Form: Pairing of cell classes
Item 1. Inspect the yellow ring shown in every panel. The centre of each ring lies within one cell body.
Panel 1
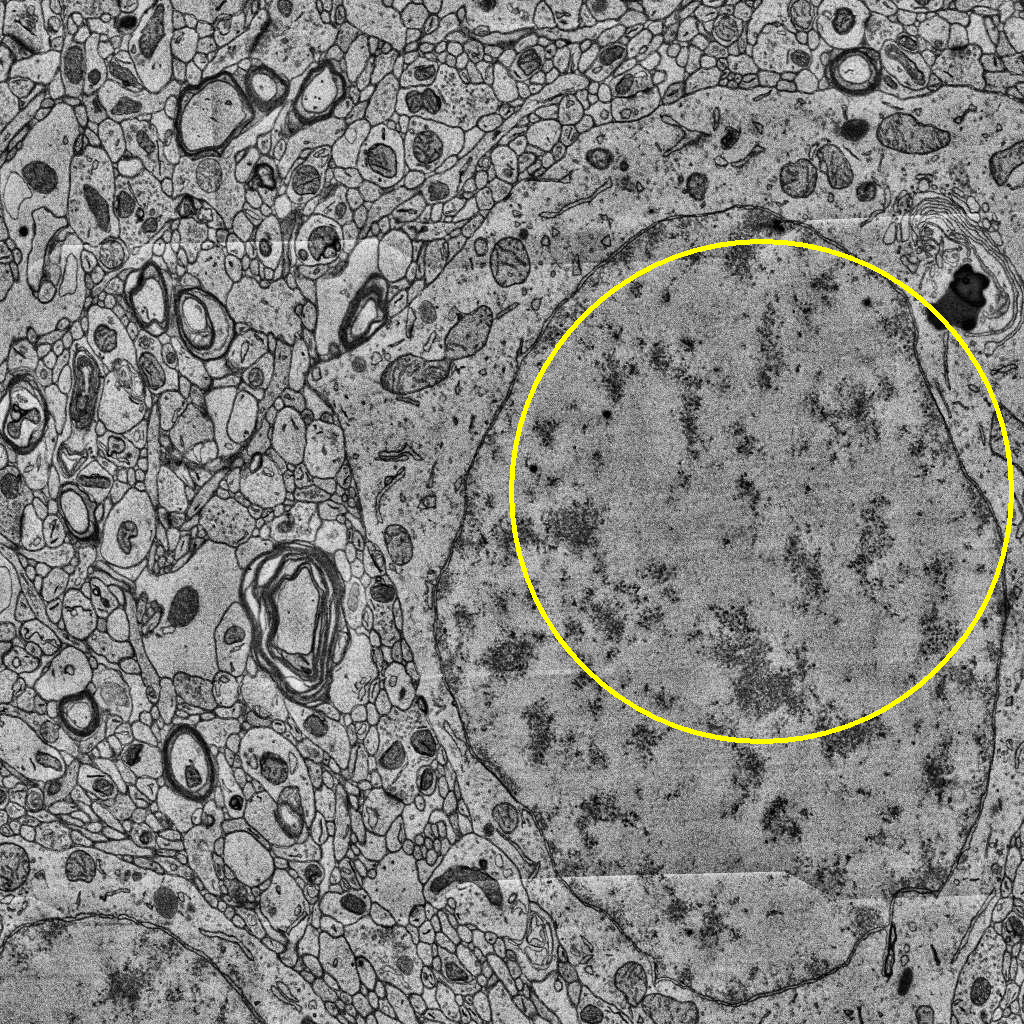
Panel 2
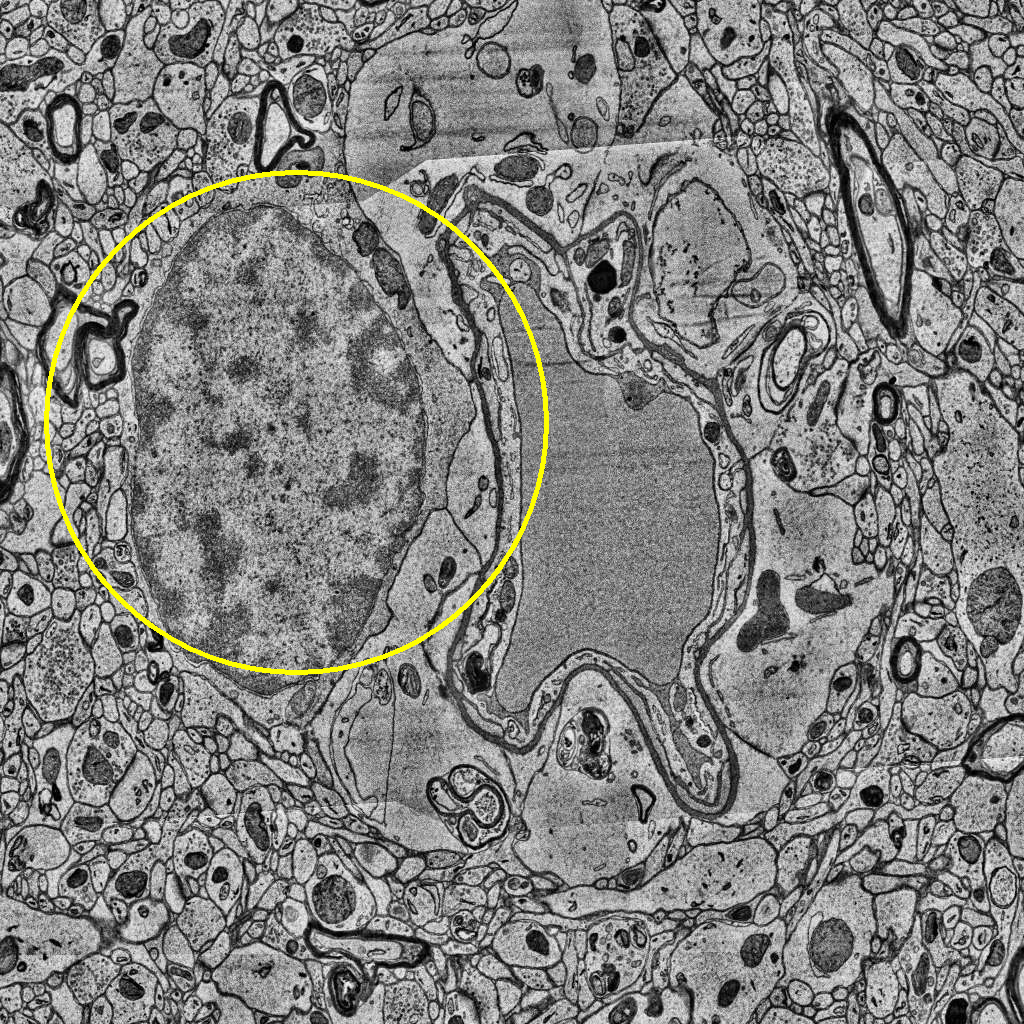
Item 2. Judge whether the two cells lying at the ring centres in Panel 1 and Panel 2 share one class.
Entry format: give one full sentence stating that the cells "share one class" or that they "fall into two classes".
The cells at the ring centres in Panel 1 and Panel 2 fall into two classes.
